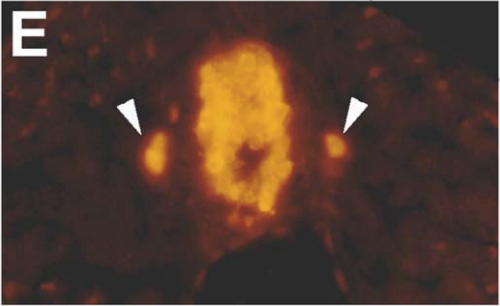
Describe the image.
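A transverse section through the trunk shows a large, brightly labelled oval of neural tissue in the midline, with a small darker spot near its centre. On either side of it lies a small, compact, brightly labelled cluster of neurons of the dorsal root ganglia, separated from the central structure by unlabelled tissue. The surrounding tissue is dark, with only faint scattered labelling.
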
